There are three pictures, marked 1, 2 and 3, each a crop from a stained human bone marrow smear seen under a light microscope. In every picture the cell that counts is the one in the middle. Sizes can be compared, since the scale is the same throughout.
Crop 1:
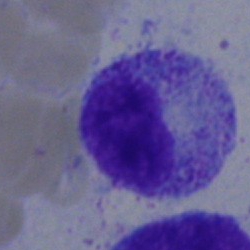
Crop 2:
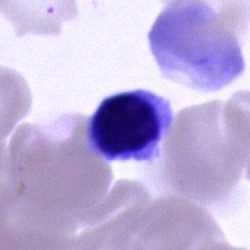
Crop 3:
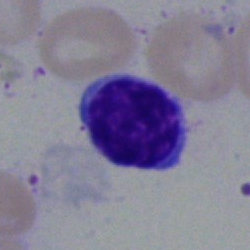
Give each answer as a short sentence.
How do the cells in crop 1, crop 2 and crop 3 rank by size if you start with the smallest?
Smallest first: 2, 3, 1.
